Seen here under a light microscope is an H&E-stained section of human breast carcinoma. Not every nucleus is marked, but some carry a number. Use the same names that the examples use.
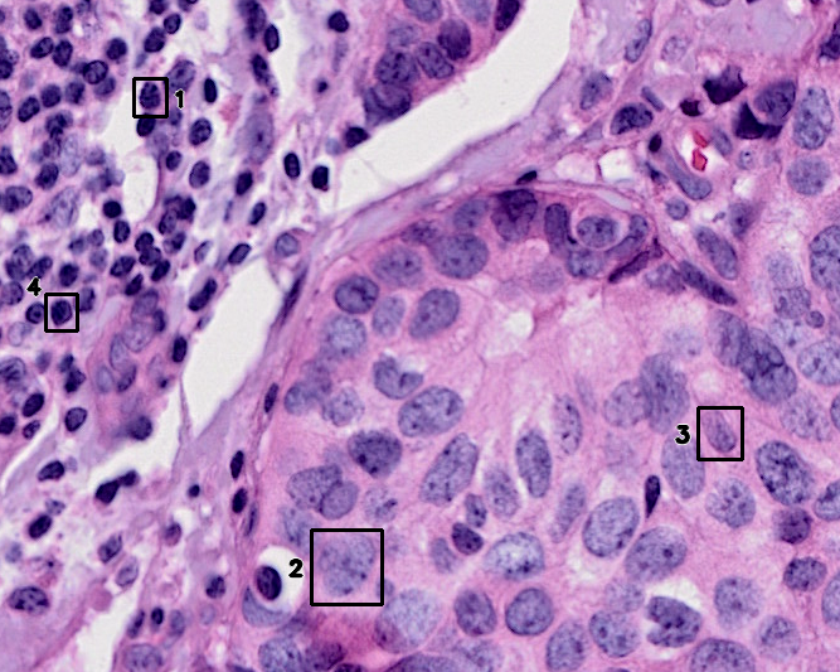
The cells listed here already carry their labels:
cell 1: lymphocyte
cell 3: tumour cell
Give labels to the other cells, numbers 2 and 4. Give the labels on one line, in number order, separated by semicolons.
tumour cell; lymphocyte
